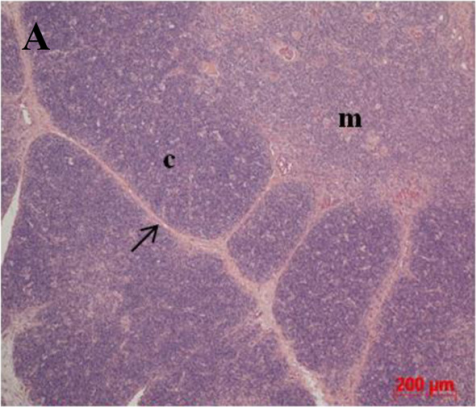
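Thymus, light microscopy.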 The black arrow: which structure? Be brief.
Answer: Connective tissue septum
